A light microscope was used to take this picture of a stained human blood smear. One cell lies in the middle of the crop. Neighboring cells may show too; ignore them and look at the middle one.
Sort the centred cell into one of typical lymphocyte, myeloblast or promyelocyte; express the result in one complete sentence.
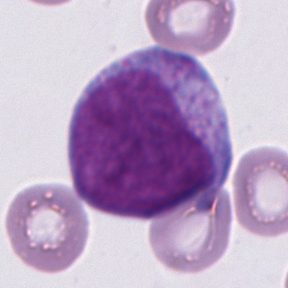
The cell sitting right in the middle is a promyelocyte.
